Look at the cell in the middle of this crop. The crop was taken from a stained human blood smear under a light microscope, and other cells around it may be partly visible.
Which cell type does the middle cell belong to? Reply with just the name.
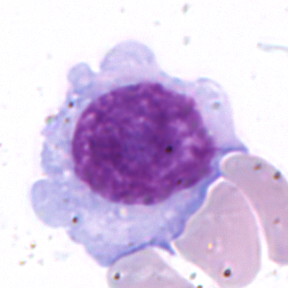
plasma cell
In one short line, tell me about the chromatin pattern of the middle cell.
Chromatin texture is fine, and coarse clumps are absent.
